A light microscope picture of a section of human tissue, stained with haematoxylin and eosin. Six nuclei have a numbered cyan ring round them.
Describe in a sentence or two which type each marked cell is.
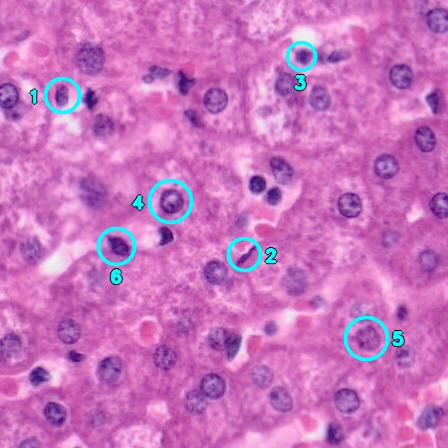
Cells 1 and 3 are lymphocytes. Cell 2 is an endothelial cell. Cells 4 and 5 are hepatocytes. Cell 6 is a fibroblast or stellate cell.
